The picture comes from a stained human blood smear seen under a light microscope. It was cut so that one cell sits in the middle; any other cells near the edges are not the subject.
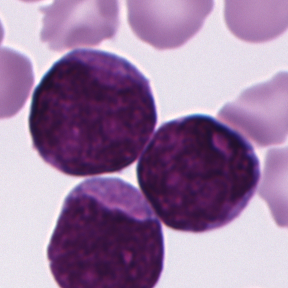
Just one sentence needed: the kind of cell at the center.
In short, the cell at the center is a myeloblast.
